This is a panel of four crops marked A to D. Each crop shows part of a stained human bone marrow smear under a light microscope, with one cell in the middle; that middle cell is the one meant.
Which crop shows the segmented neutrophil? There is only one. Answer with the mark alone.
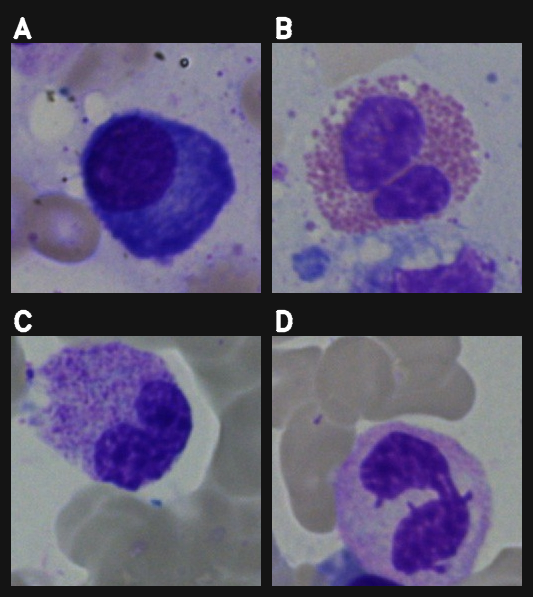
D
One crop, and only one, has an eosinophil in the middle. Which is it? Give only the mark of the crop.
B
